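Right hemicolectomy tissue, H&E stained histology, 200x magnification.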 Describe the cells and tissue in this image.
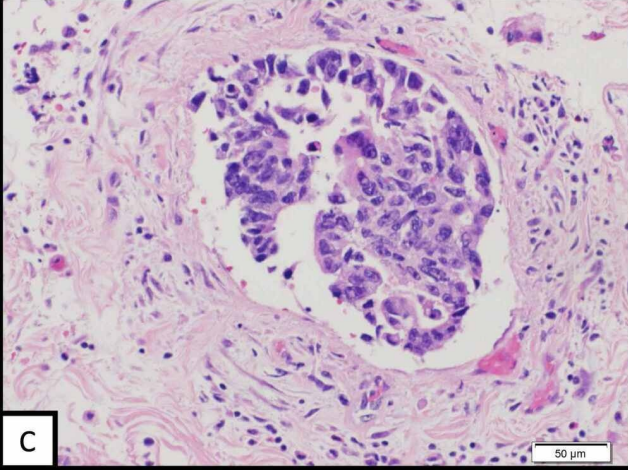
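A cluster of tumor cells lies free within a rounded vascular space surrounded by fibrous stroma. The tumor cells are crowded, with enlarged, dark, irregular nuclei and scant pink cytoplasm, forming small gland-like openings. The thin wall of the space is separated from the tumor cluster by a clear gap.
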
